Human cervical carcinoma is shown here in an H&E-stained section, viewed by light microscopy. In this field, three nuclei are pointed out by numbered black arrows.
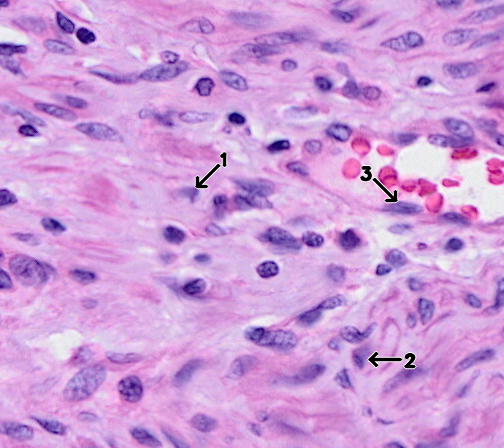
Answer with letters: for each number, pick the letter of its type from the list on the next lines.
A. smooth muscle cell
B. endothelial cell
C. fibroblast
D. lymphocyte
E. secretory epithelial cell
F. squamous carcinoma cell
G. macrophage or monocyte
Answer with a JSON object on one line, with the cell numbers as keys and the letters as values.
{"1": "C", "2": "A", "3": "B"}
